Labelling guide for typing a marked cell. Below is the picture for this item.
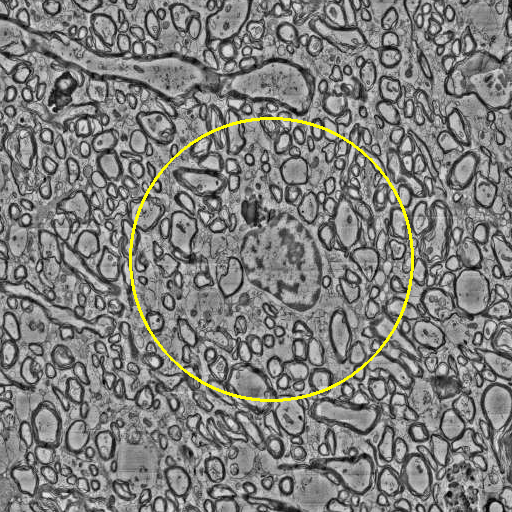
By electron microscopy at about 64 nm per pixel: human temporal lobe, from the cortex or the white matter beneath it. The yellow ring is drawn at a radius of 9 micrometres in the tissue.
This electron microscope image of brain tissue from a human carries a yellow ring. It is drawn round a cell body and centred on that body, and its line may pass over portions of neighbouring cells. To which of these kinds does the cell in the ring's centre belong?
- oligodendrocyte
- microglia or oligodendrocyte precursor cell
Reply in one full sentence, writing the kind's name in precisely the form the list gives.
Here we have a microglial cell or oligodendrocyte precursor cell at the centre of the yellow ring in the picture.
